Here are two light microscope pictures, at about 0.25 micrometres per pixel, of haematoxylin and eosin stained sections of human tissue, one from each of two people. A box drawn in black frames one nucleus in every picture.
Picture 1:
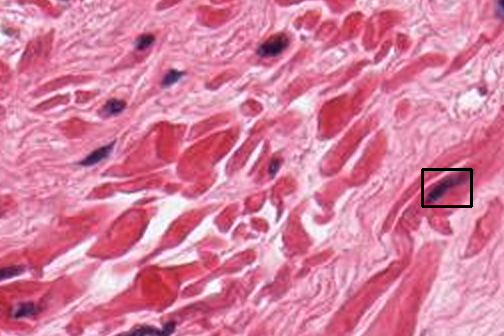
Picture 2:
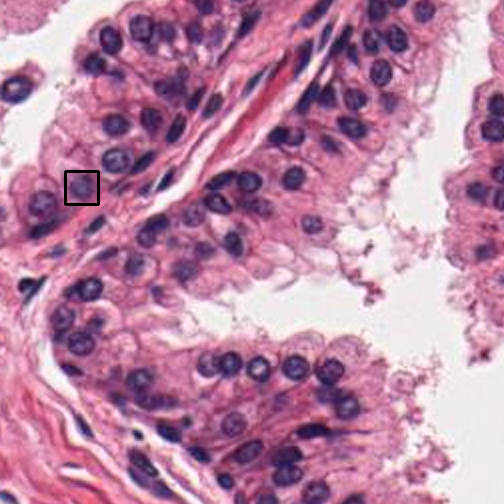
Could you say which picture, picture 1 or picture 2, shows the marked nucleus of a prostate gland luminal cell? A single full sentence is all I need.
The marked nucleus of picture 2 is part of a prostate gland luminal cell.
